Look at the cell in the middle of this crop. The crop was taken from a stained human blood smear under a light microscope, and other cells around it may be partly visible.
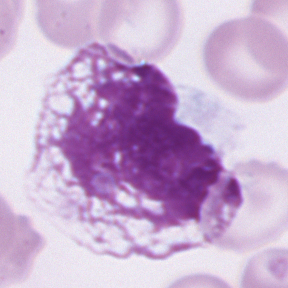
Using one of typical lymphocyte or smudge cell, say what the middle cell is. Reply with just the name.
smudge cell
